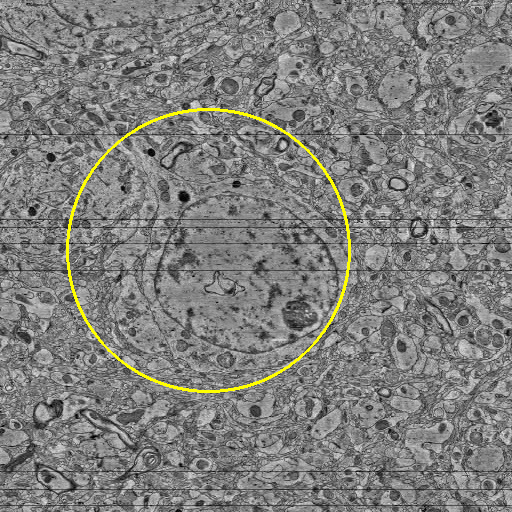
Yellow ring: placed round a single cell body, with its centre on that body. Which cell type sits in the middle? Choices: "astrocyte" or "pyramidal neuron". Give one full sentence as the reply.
It is a pyramidal neuron whose cell body sits at the centre of the yellow ring.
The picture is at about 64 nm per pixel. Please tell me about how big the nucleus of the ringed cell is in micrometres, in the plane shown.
Approximately 11 micrometres across in this plane.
